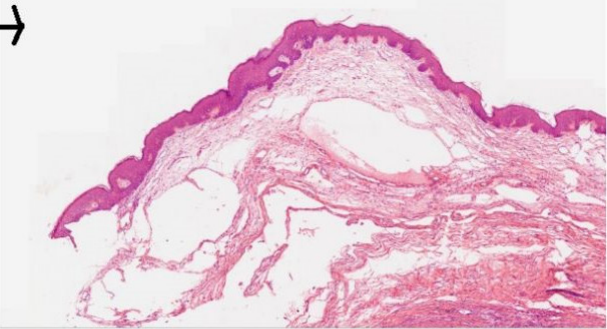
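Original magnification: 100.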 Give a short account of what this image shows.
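This is skin, with a thin purple-pink epidermis along the top and loose, pale dermis beneath it. Just under the epidermis the dermis holds several large, empty, irregular spaces bounded by very thin walls, which are dilated lymphatic vessels. Some spaces hold a little pale pink material. Around them the connective tissue is loose and finely fibrillar, while denser pink collagen bundles lie further down. The epidermis above these spaces is stretched and arched outward, giving the surface a raised, blister-like contour.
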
